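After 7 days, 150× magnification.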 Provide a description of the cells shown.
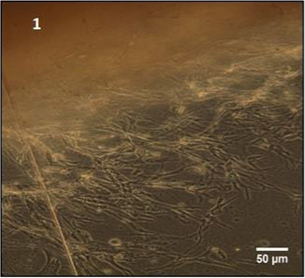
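Edge of a tissue explant with cells migrating out onto the dish. The upper part of the field is taken by a dense, fibrous, brownish tissue fragment with streaky texture. Along and below its edge lie elongated, spindle-shaped cells spreading over the surface. The outgrowing cells are more densely packed close to the explant and sparser farther away. A thin straight line crosses the field diagonally at the left.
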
